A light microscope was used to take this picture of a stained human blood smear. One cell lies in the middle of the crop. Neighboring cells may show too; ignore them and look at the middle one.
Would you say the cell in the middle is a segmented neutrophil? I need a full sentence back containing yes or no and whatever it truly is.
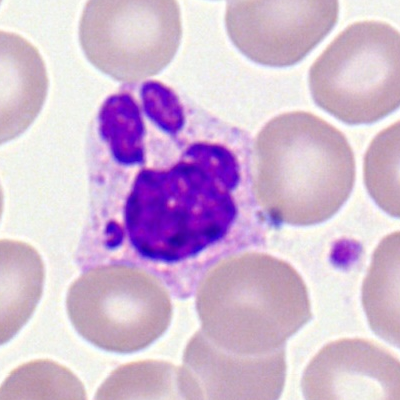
No, calling it a segmented neutrophil is wrong; the middle cell is a basophil.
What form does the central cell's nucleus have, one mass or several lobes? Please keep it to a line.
Two or more lobes make up the nucleus of this cell.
